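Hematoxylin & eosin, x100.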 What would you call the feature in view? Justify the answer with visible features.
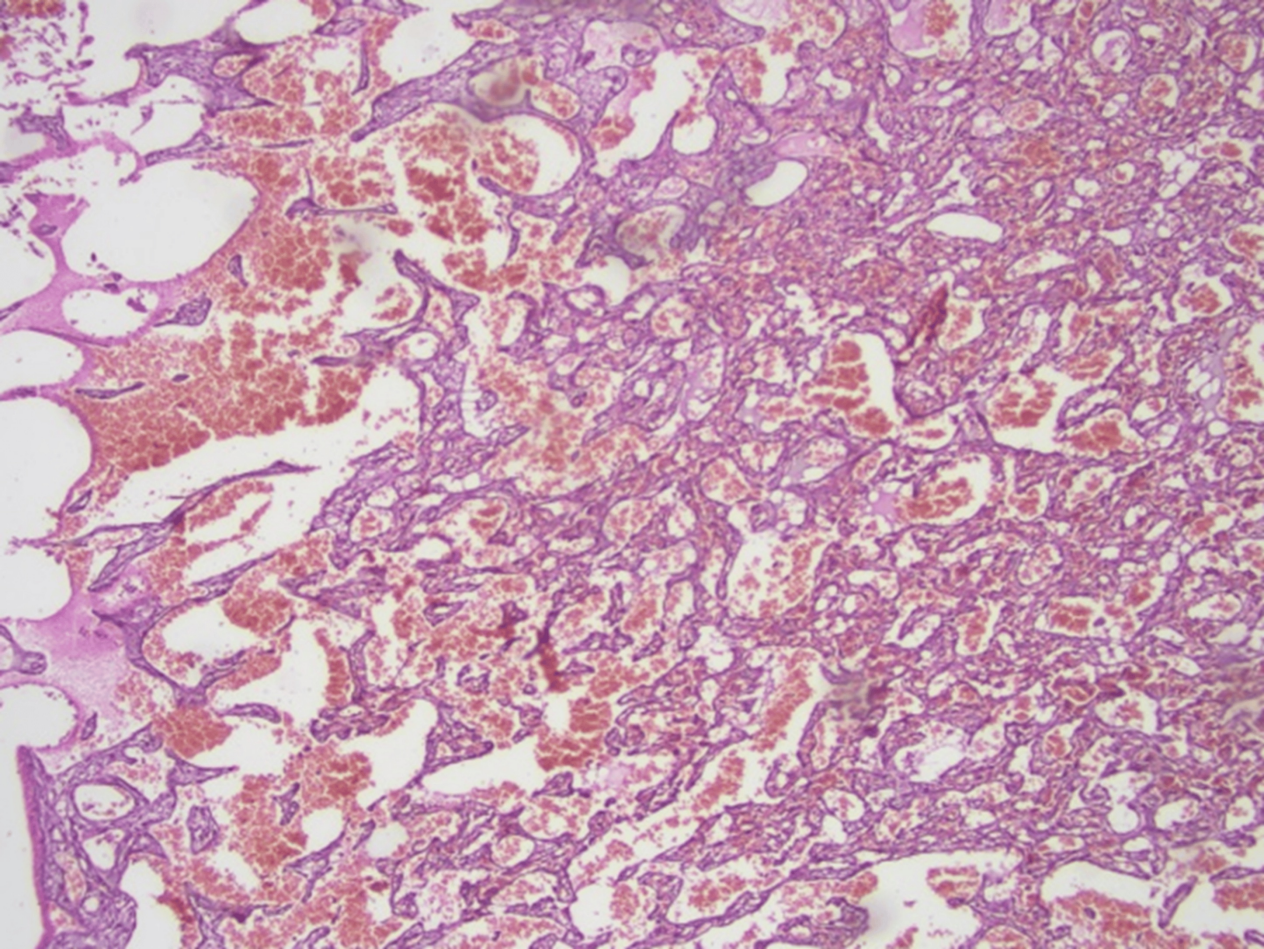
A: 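Vascular structures. Numerous closely packed channels of varying size fill the field. The channels contain red-pink erythrocytes. The channels are separated by thin purple walls.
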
